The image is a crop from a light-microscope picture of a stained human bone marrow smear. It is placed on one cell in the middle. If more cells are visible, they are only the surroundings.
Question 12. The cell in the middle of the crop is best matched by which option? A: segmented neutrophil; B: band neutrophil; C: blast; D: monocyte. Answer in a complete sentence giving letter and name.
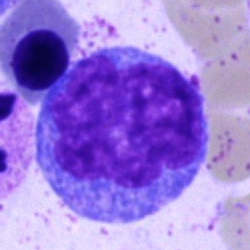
In the centre of the crop there is a monocyte, making option D correct.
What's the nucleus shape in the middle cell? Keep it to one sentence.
Have a look at the nucleus, which is one compact mass, round, oval or kidney-shaped.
